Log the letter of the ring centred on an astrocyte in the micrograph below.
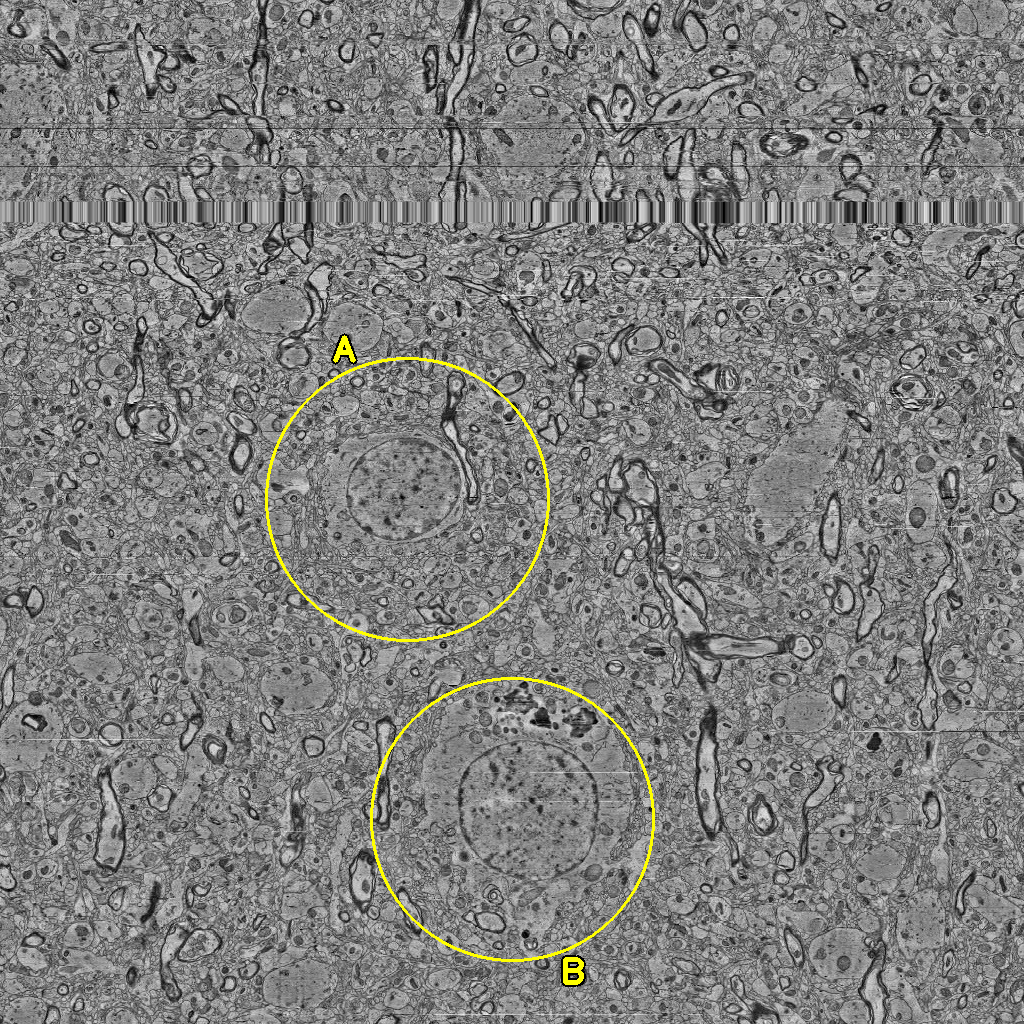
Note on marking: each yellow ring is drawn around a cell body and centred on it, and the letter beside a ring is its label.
B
